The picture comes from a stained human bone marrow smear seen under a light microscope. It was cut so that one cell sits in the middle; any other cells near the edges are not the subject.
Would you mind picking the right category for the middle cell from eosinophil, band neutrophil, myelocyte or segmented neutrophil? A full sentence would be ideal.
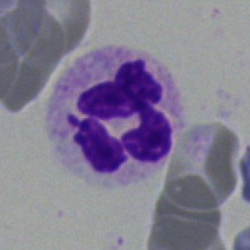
In this smear crop, the middle cell is a segmented neutrophil.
